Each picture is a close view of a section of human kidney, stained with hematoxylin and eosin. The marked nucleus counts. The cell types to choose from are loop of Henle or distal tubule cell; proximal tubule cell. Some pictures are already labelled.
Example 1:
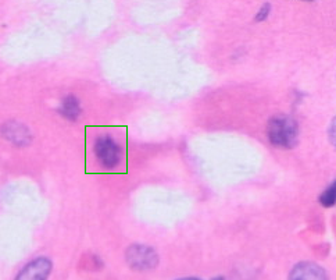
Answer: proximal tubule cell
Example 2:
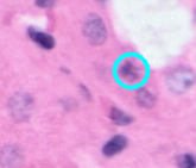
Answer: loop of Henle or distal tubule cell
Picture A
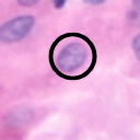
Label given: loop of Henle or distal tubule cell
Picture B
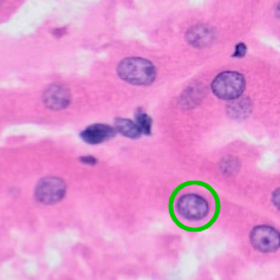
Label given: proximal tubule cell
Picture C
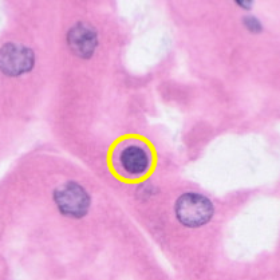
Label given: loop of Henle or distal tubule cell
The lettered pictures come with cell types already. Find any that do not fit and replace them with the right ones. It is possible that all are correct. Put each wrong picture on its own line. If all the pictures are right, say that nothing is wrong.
Wrong: A (loop of Henle or distal tubule cell); correct: proximal tubule cell
Wrong: C (loop of Henle or distal tubule cell); correct: proximal tubule cell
